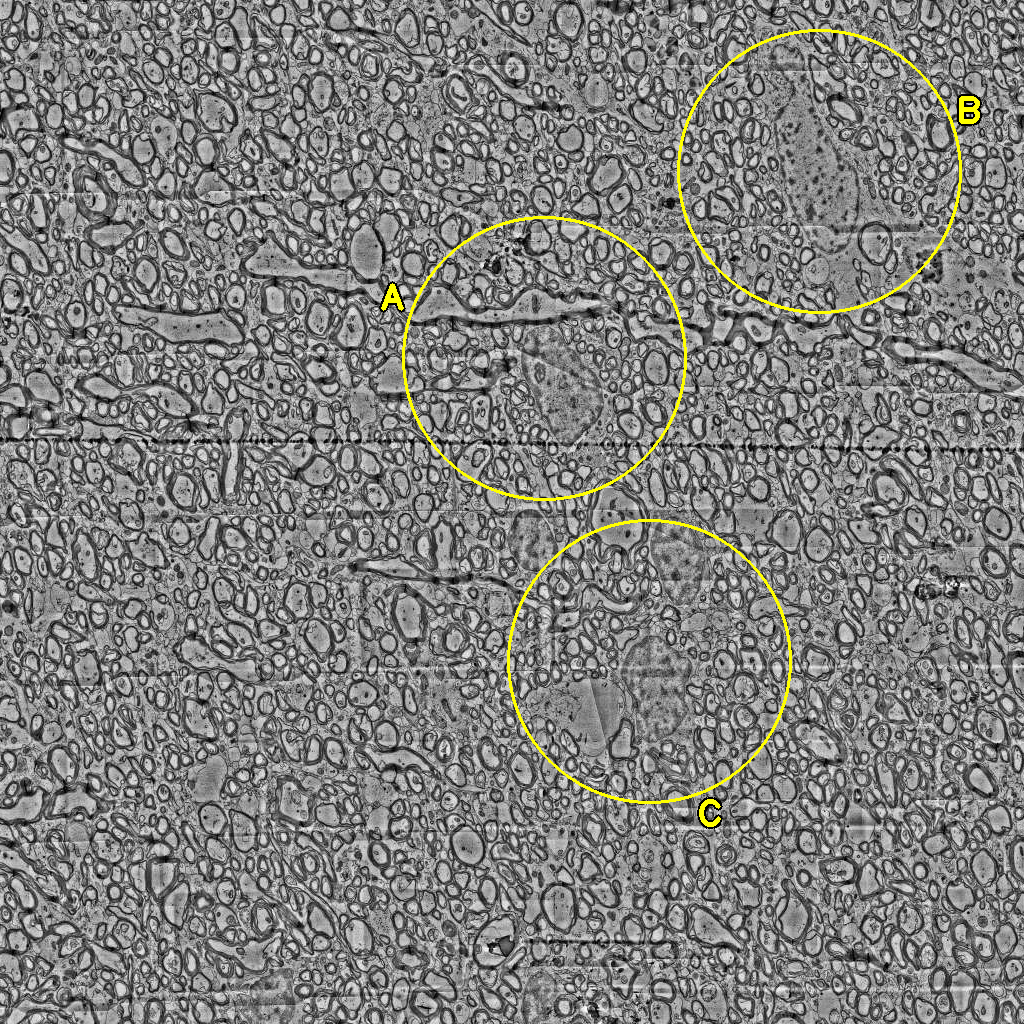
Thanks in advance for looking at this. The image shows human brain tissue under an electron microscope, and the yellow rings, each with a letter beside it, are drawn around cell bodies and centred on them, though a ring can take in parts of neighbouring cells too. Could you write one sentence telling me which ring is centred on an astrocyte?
Ring B is centred on it.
